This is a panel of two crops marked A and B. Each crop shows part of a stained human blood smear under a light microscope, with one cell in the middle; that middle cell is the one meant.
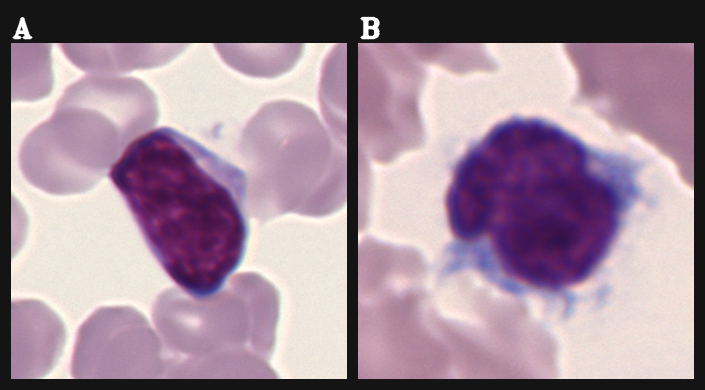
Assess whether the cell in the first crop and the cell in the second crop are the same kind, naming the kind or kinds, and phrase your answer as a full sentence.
No, the cell of interest in crop A is a typical lymphocyte, and in crop B it is a hairy cell.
